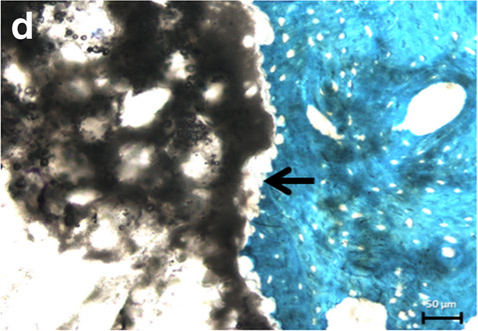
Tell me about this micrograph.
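The left part of the field is taken up by black, granular material with scattered pale holes. To the right lies blue-stained bone matrix with many small lacunae that appear pale and empty. The edge between the dark material and the bone is irregular, and some round cavities lie within the bone.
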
